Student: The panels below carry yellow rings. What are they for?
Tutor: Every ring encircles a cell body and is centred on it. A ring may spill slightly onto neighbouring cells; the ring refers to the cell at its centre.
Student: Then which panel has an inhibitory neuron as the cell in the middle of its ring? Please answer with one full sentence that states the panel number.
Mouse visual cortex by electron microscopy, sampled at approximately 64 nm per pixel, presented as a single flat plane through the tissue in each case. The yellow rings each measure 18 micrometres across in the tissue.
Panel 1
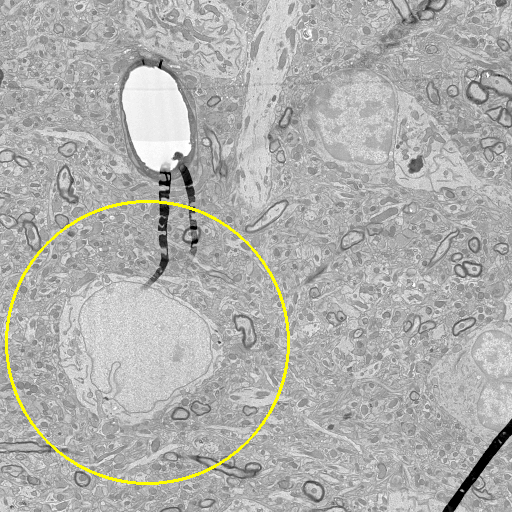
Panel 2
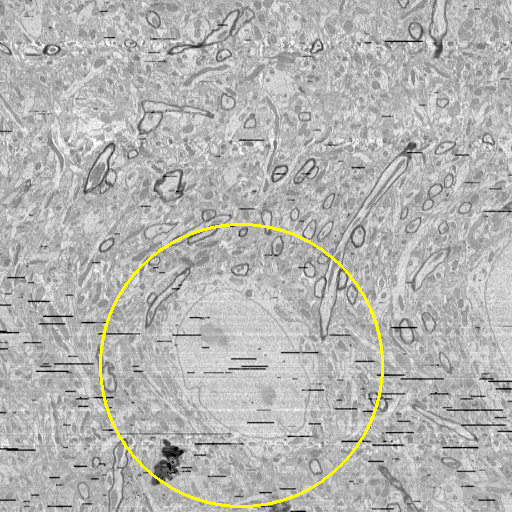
In Panel 1, the cell centred in the ring is the one sought.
